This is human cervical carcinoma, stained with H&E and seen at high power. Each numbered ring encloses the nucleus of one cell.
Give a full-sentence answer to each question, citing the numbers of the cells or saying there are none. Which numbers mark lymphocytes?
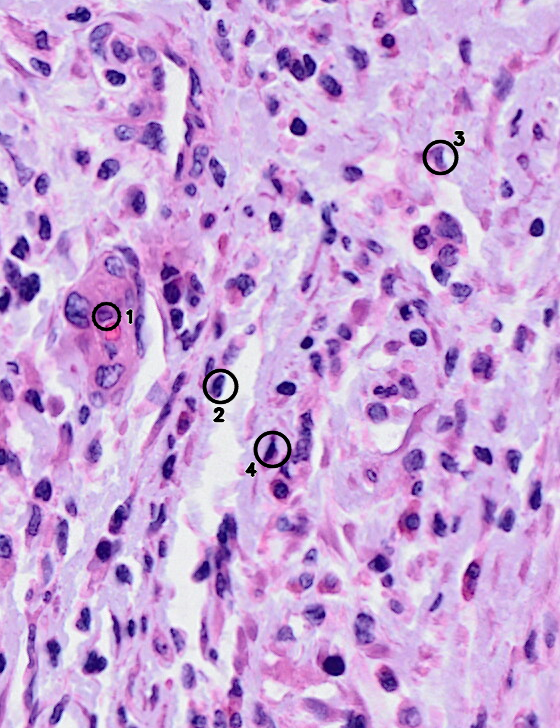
In this section, the cells labelled 2 and 4 are lymphocytes.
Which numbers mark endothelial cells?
Cell 1 is the one numbered cell that is an endothelial cell.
